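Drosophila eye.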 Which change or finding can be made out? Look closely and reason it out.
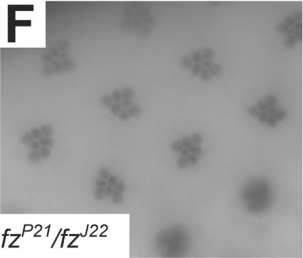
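The trapezoid clusters of dark dots are oriented in different directions. Neighbouring clusters do not share a common orientation. On this evidence: The polarity of ommatidia is disturbed.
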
